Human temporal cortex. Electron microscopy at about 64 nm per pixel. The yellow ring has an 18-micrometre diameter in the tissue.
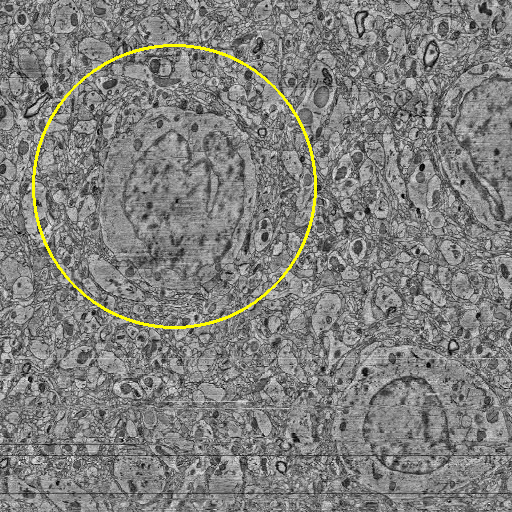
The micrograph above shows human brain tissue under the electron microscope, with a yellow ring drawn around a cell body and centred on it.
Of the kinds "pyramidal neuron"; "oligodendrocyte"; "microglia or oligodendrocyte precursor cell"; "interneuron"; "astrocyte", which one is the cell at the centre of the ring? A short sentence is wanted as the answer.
The one at the centre of the ring is an interneuron.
